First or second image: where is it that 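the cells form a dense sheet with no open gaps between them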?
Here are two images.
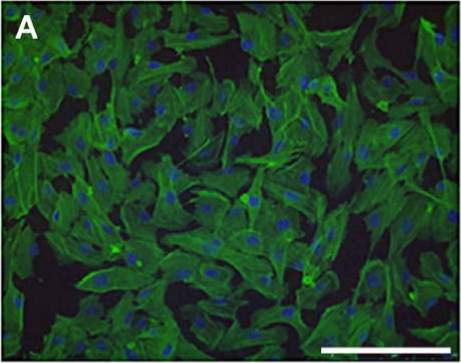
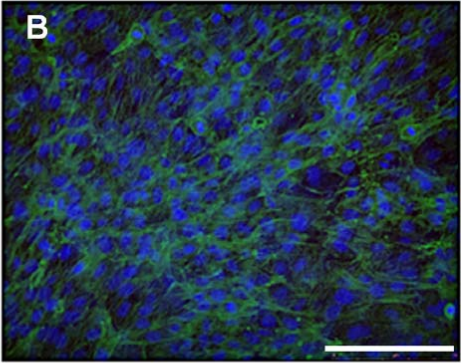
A: The second image.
